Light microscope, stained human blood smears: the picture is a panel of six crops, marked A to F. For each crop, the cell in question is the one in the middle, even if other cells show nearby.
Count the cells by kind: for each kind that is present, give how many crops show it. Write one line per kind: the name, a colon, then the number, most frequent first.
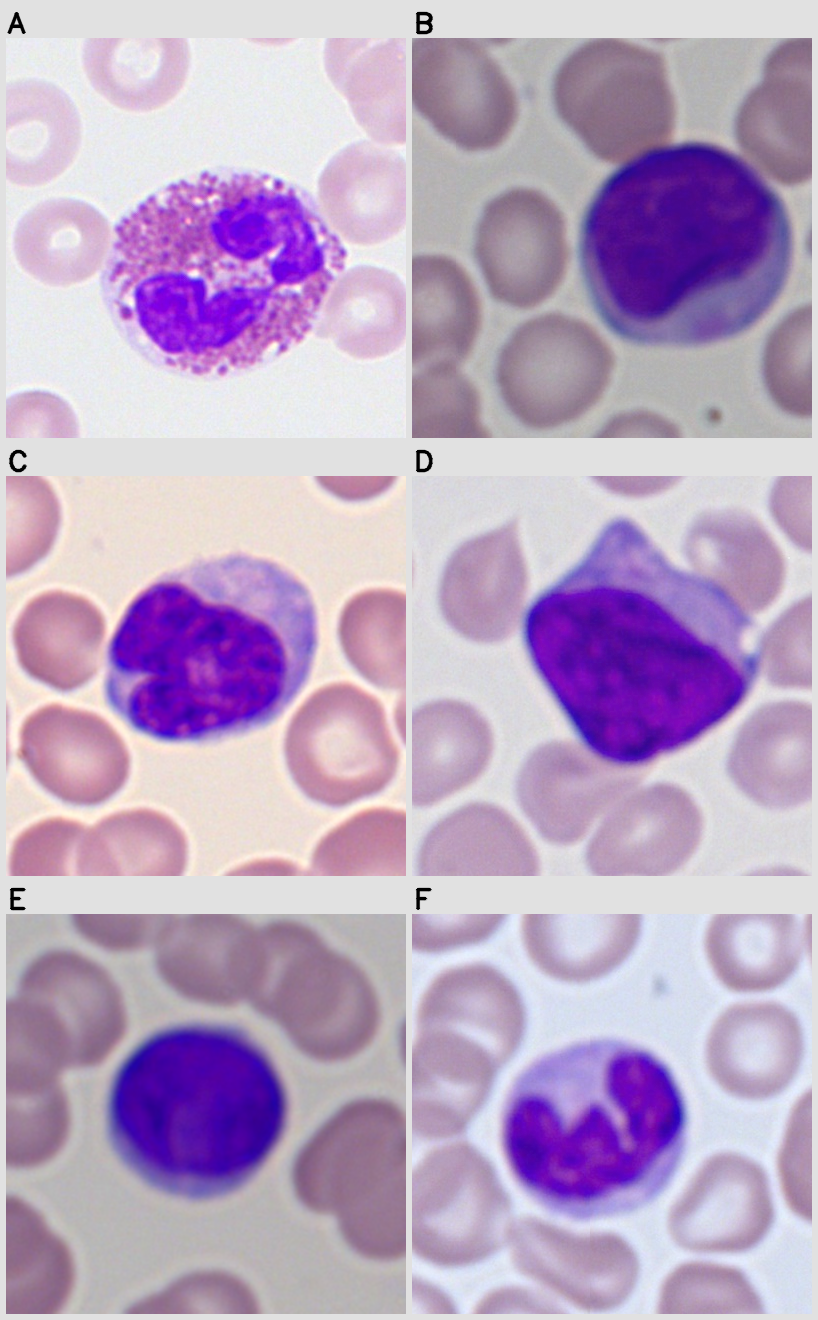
blast: 3
monocyte: 2
eosinophil: 1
